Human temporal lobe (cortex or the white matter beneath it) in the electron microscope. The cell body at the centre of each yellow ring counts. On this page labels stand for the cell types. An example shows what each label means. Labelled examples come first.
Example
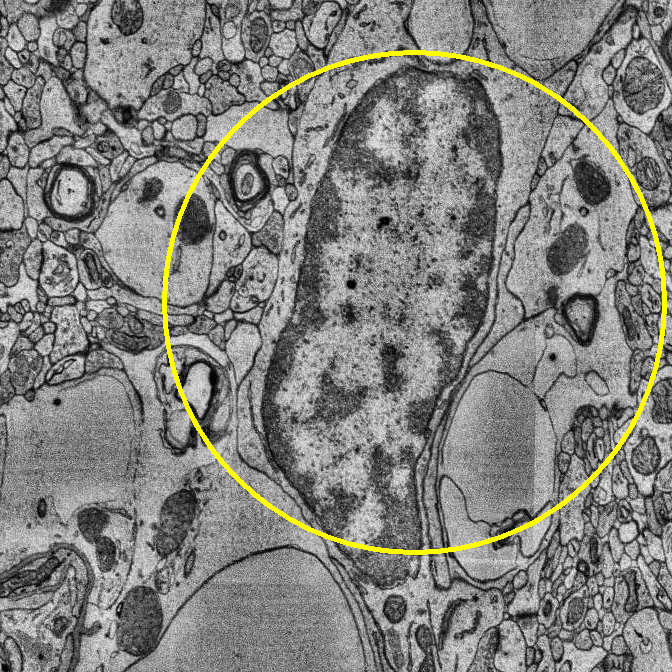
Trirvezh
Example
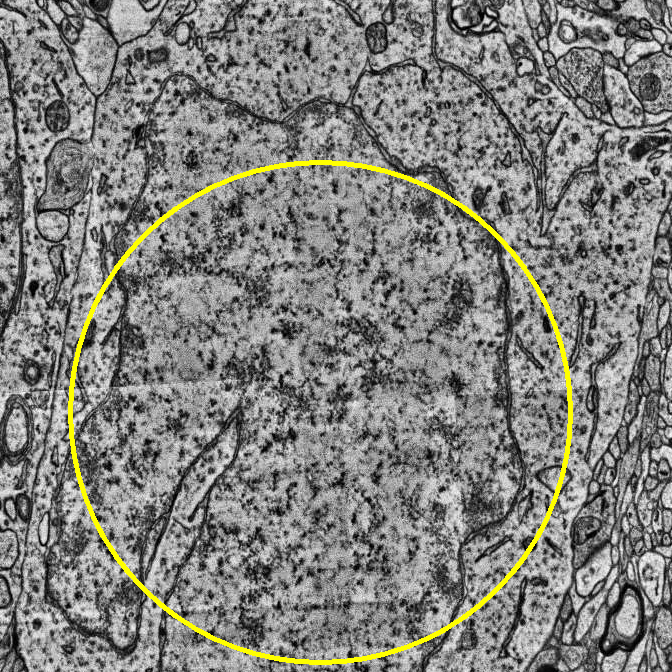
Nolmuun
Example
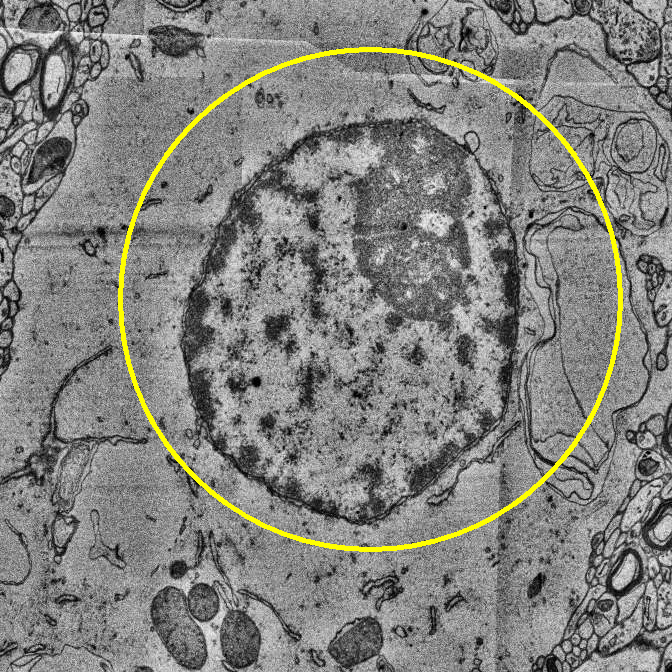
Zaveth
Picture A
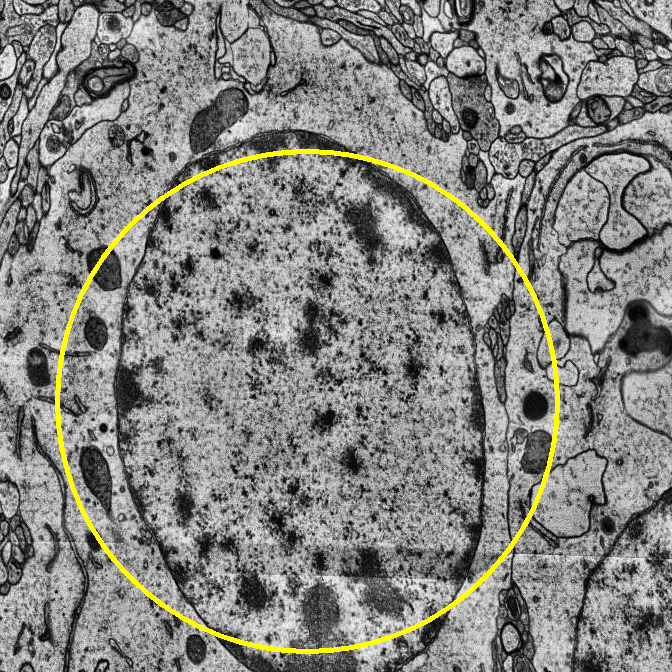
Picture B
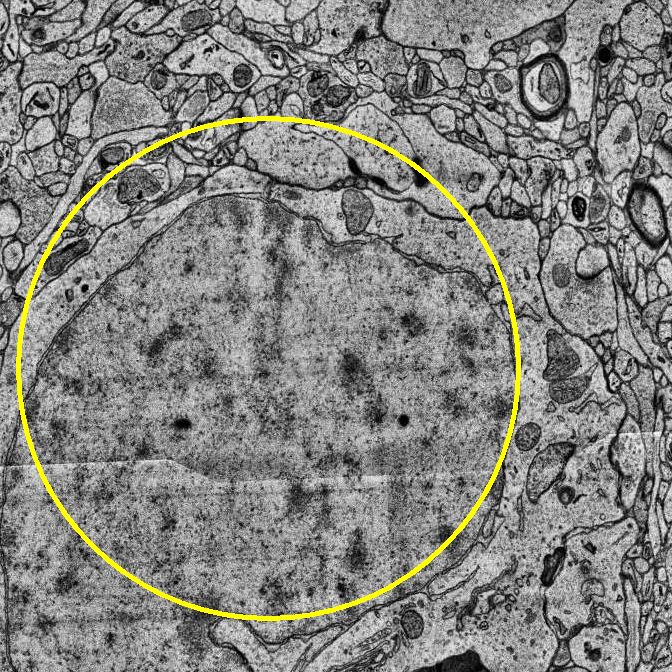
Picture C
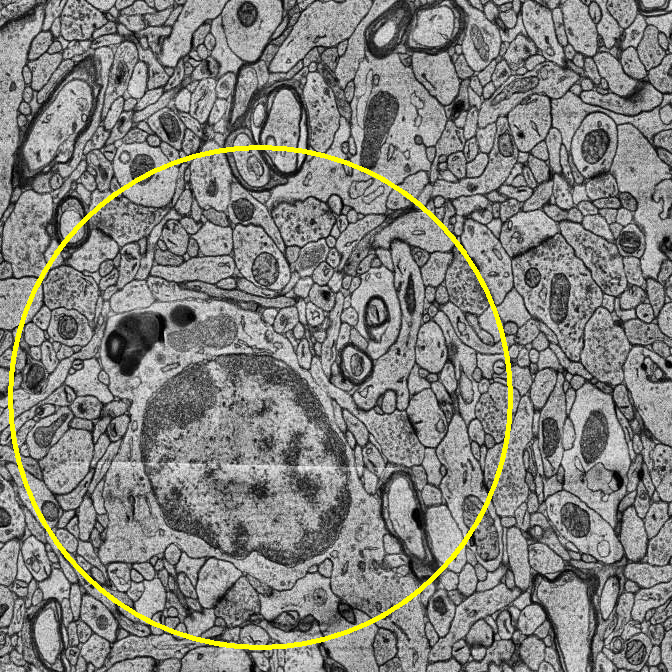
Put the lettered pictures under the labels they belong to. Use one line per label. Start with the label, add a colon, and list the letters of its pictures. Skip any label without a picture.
Trirvezh: C
Nolmuun: B
Zaveth: A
